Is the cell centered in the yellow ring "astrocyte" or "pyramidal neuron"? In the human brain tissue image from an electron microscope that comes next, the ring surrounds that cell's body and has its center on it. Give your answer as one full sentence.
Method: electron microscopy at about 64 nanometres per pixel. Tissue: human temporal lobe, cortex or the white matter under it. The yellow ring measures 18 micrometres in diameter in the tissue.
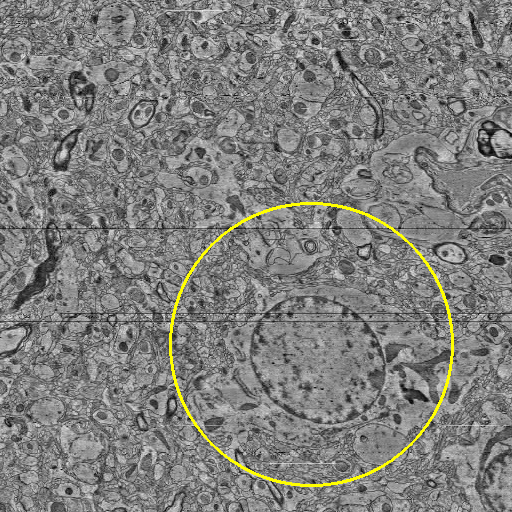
The cell at the center of the yellow ring is an astrocyte in the micrograph.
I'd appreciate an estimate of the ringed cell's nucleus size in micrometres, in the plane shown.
In this plane the nucleus spans approximately 9 by 8 micrometers.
